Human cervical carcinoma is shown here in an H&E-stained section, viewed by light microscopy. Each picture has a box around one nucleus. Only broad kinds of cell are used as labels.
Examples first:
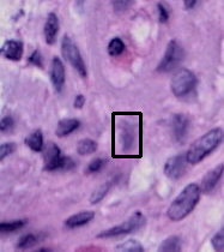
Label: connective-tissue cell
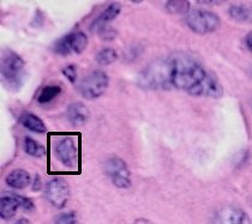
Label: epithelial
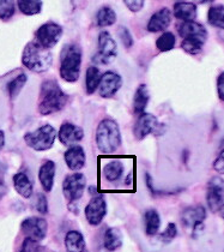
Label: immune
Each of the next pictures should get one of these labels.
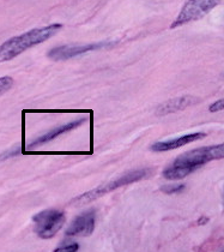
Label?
connective-tissue cell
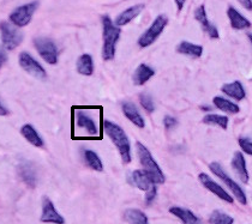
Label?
connective-tissue cell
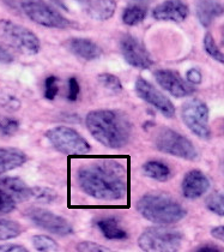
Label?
epithelial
